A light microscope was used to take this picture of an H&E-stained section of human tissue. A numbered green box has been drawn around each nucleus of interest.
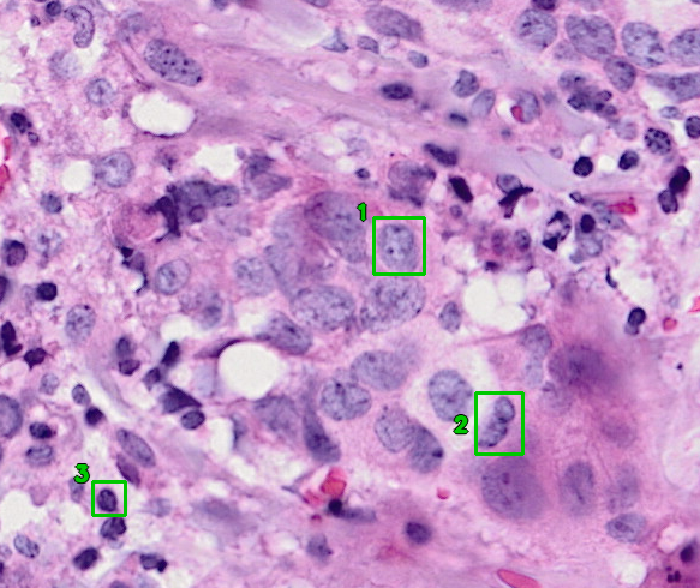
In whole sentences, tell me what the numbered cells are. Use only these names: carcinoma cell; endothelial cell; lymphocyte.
Cells 1 and 2 are carcinoma cells. Cell 3 is a lymphocyte.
